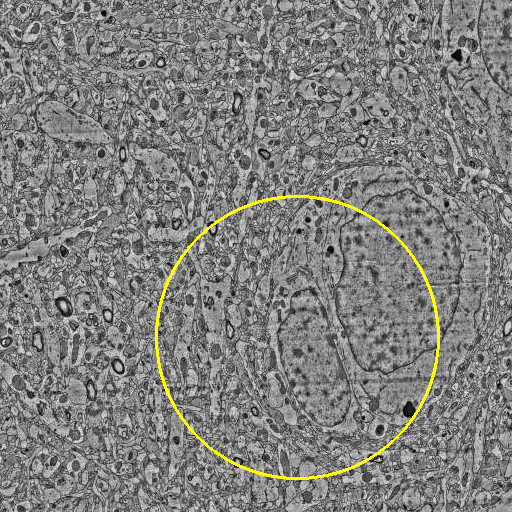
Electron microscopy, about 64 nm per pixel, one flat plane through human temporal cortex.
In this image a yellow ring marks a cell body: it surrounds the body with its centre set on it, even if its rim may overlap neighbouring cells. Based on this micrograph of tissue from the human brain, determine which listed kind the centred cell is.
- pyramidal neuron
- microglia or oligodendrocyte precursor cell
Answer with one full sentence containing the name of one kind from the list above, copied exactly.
It is a microglial cell or oligodendrocyte precursor cell whose body the yellow ring encloses at its centre.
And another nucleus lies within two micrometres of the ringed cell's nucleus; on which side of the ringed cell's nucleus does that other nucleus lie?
The other nucleus is situated to the right of it.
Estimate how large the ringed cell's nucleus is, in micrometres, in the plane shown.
Roughly 8 by 4 micrometres; in this plane, clearly longer than it is wide.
